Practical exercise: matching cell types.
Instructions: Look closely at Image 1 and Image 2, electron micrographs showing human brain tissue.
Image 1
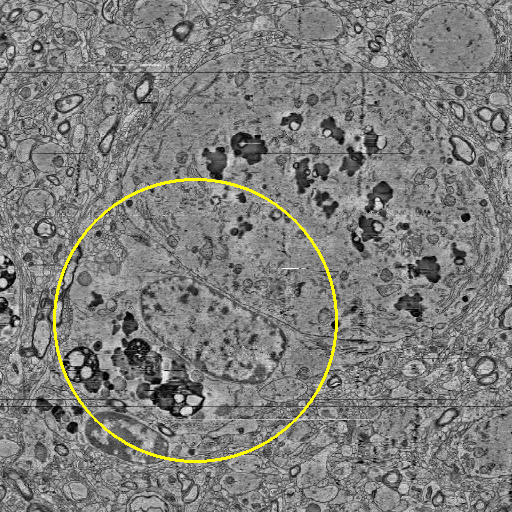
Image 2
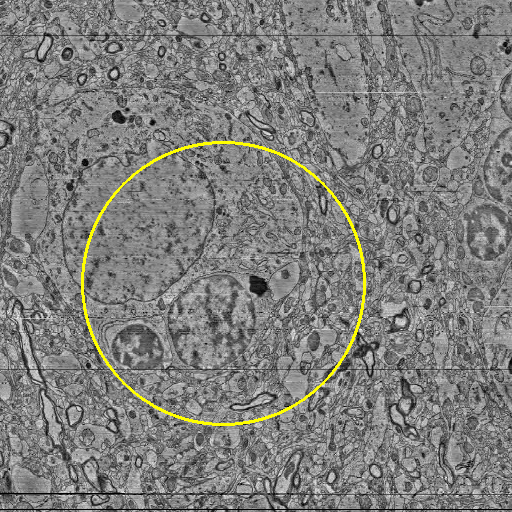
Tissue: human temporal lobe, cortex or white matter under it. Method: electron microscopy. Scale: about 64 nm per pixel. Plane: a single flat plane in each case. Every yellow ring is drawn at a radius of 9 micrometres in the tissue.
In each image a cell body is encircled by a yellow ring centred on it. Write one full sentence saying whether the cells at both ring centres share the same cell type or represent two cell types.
Across Image 1 and Image 2, the cells at the ring centres represent two cell types.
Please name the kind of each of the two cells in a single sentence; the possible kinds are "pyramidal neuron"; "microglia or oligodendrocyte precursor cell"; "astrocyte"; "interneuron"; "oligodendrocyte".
In the first picture the ring is centred on an astrocyte, and in the second on an oligodendrocyte.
